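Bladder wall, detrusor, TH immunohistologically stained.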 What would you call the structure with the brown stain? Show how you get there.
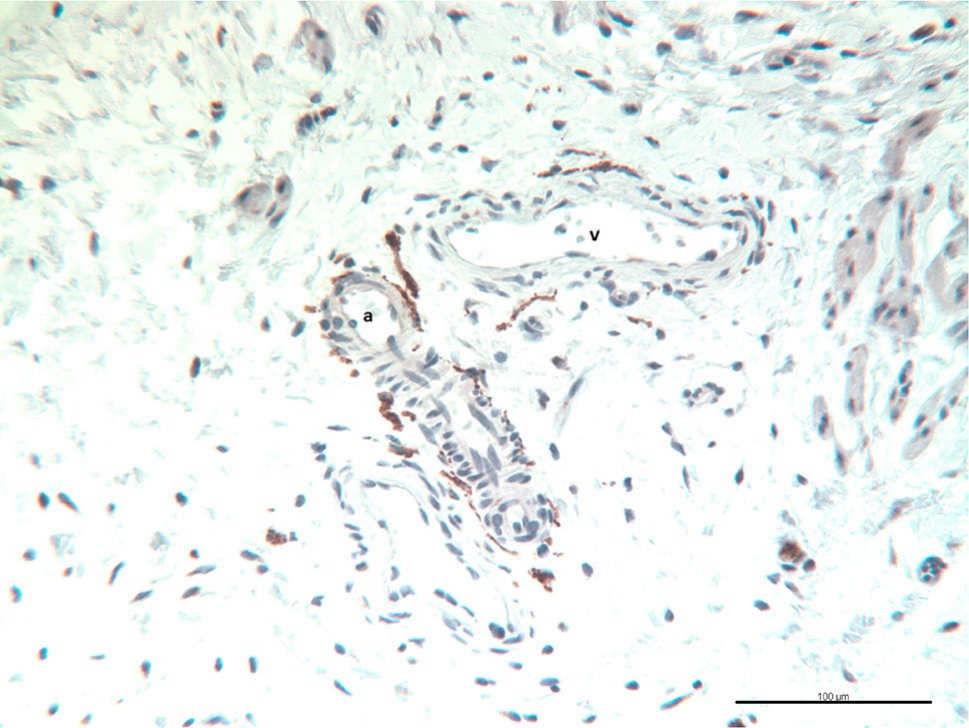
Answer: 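Thin brown fibres run along the walls of the two vessels. The brown fibres are beaded, with small swellings along their length.
Answer: varicose axons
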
